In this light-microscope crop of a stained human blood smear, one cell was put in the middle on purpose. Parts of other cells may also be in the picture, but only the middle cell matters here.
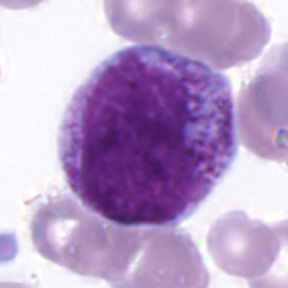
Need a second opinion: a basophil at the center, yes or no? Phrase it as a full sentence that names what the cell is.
No, in this crop the central cell is a promyelocyte instead of a basophil.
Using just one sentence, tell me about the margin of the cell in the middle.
Its surface contour is regular and smooth, without any protrusions.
